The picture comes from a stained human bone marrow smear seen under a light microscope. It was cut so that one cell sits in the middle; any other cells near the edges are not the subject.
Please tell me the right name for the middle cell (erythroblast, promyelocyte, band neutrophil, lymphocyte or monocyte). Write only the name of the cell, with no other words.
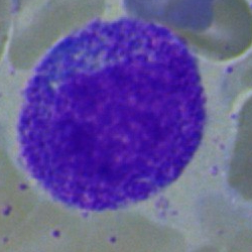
promyelocyte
